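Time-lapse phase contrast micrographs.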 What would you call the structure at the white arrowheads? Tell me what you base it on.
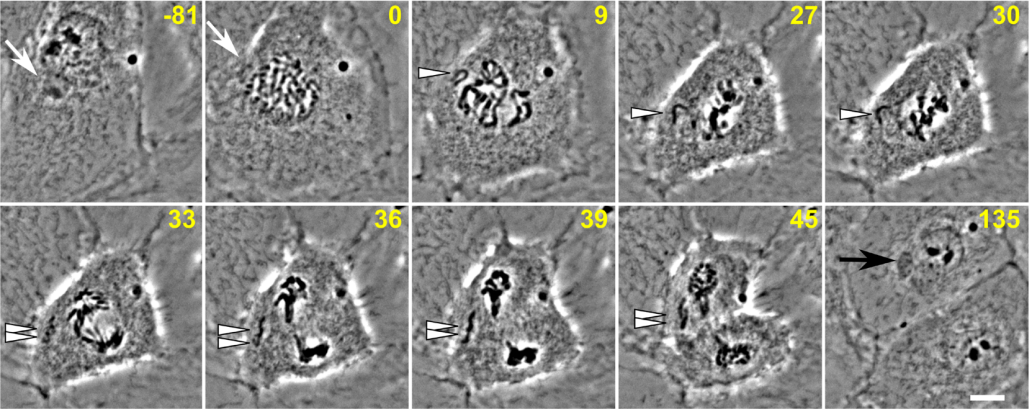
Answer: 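Missegregating chromosomes/chromatids. A dark rod-shaped chromosome sits away from the main chromosome mass. It stays apart while the other chromosomes gather and then split into two groups. Between the two separating groups it lies near the cell edge at the equator.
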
